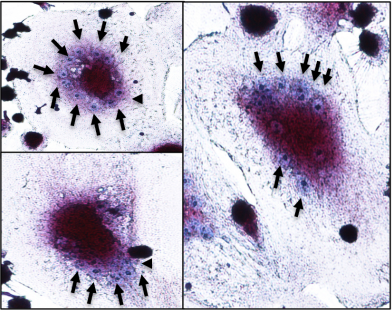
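These are very large osteoclasts spread flat in culture, their cytoplasm stained intensely red-purple in the centre and fading to a pale, finely granular rim. Many small round bluish nuclei crowd each cell, often arranged in a ring around the densely stained centre. Arrows point to the individual nuclei. Dark, smaller rounded bodies lie scattered around the cells in the background.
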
